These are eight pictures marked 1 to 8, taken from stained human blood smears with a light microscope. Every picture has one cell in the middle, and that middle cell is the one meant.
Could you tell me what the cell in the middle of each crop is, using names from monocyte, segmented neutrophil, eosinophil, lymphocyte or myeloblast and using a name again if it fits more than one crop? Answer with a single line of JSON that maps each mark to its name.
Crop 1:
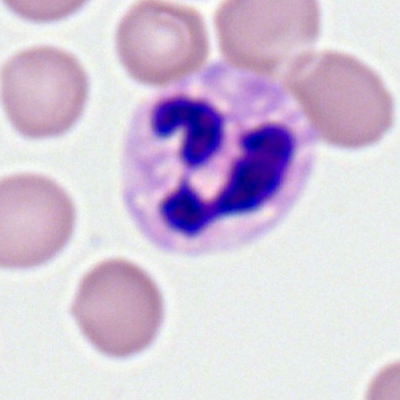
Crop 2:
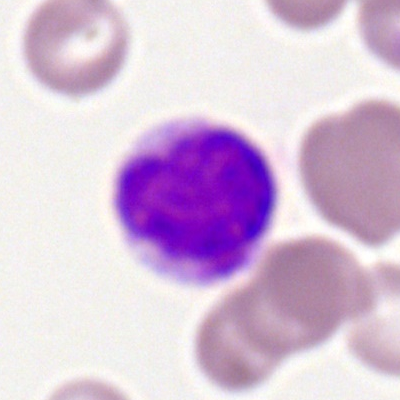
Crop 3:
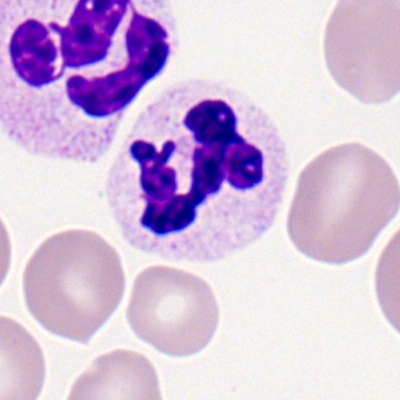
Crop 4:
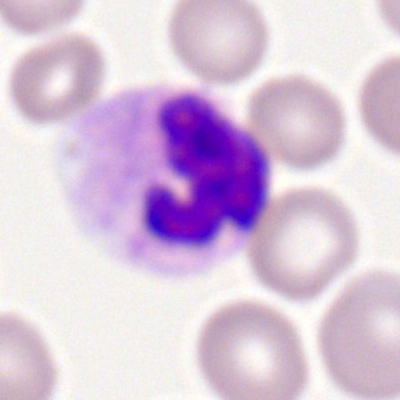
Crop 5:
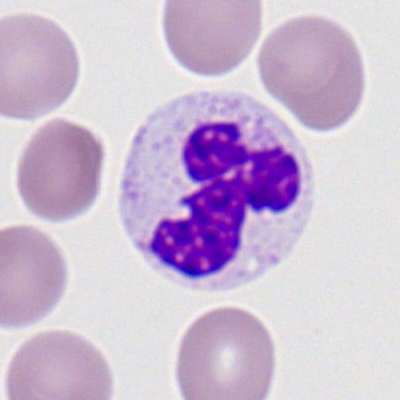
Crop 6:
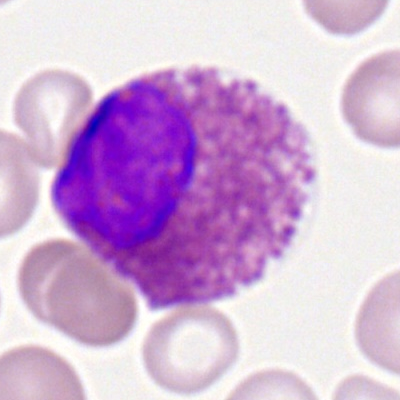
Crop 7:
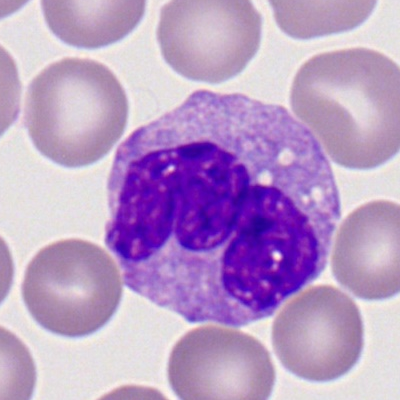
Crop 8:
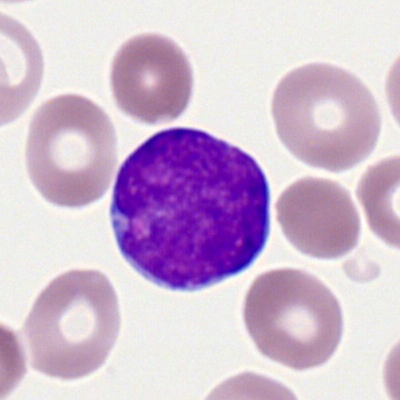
{"1": "segmented neutrophil", "2": "lymphocyte", "3": "segmented neutrophil", "4": "segmented neutrophil", "5": "segmented neutrophil", "6": "eosinophil", "7": "monocyte", "8": "myeloblast"}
